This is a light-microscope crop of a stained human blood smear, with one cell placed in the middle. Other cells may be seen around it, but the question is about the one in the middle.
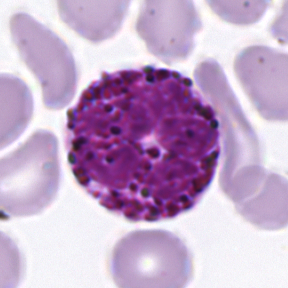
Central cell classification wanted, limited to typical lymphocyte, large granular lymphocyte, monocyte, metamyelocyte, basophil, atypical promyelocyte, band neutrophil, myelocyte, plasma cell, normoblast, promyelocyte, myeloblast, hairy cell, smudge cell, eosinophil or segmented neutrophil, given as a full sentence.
At the center of the crop sits a basophil.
